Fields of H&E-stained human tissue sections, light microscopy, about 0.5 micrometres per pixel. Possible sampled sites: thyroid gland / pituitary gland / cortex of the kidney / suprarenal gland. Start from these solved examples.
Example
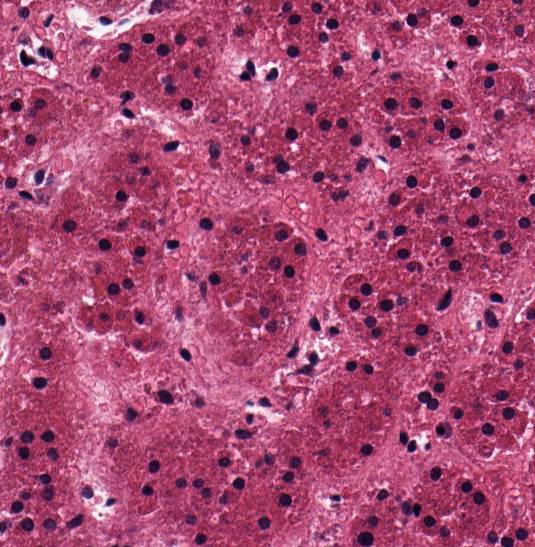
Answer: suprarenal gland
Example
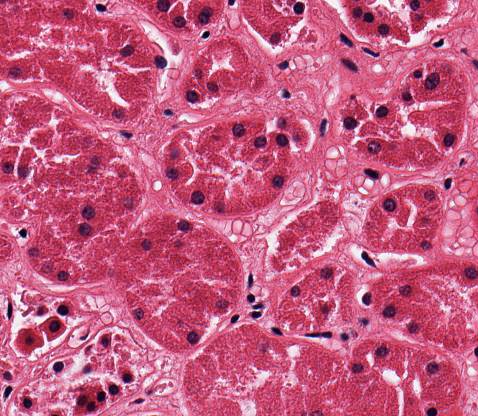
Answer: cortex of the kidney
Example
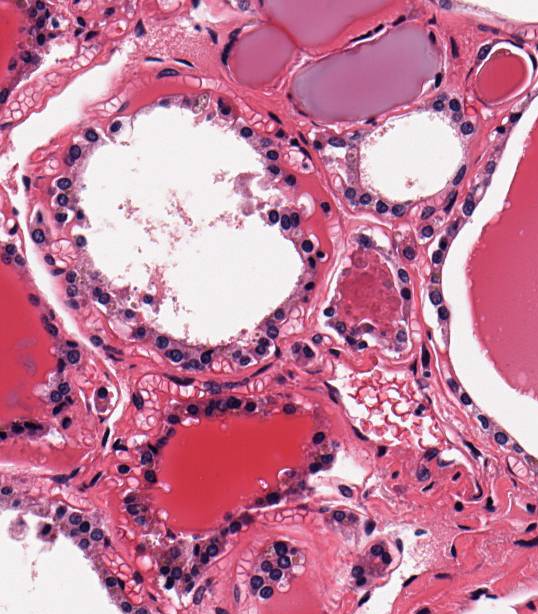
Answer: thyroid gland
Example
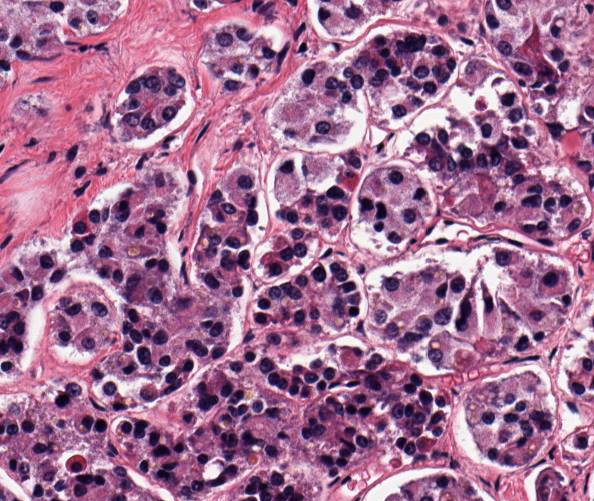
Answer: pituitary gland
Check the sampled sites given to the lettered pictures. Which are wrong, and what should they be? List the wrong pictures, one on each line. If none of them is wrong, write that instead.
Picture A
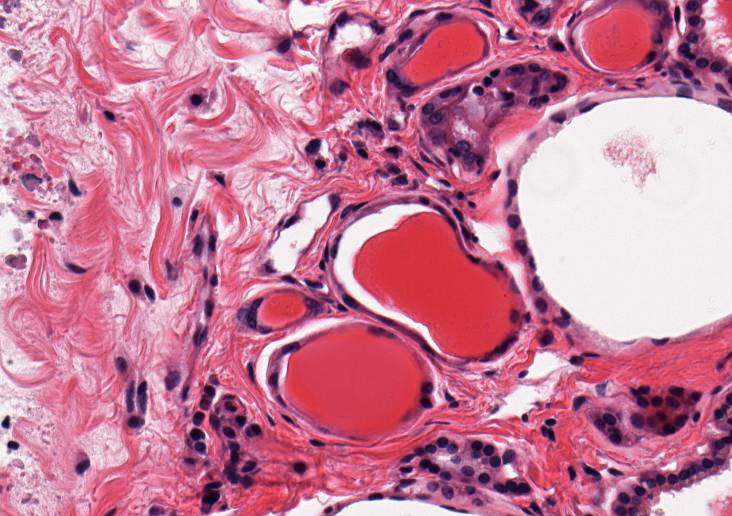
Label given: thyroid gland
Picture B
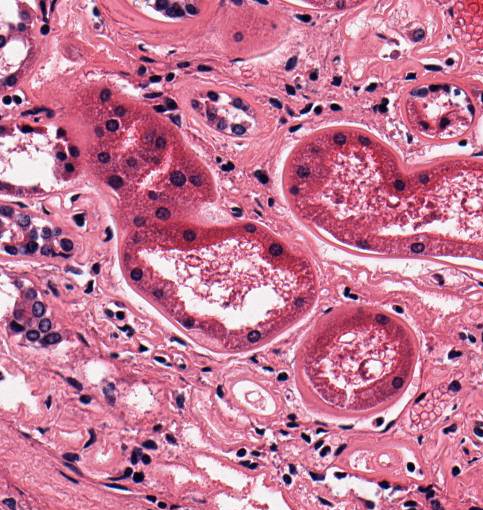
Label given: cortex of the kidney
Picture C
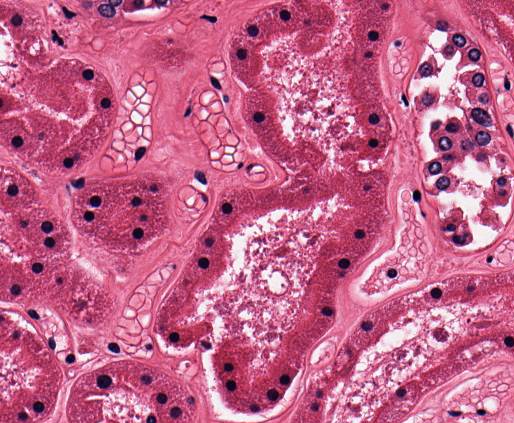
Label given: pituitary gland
C: cortex of the kidney, not pituitary gland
